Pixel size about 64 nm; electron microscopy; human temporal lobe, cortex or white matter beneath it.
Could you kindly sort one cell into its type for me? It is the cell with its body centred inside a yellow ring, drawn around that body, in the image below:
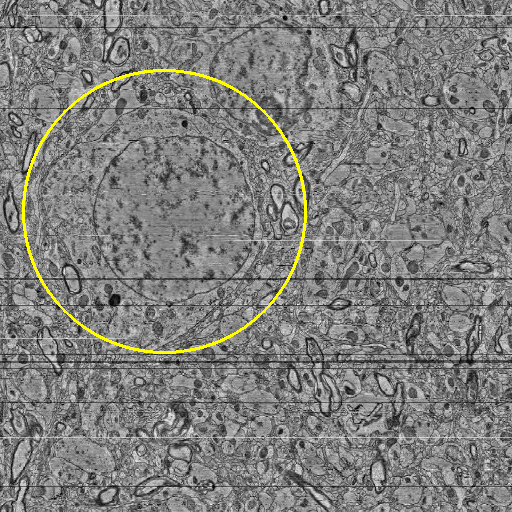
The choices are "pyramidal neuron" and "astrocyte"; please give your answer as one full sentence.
The cell whose body lies centred in the yellow ring here is a pyramidal neuron.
